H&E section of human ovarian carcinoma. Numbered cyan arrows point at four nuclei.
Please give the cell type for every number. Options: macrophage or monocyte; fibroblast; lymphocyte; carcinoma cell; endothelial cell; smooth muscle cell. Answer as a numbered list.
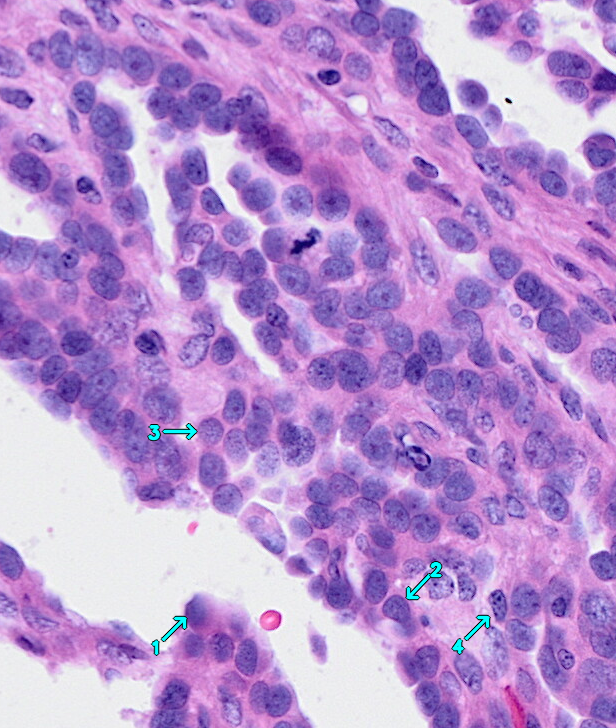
1. carcinoma cell
2. carcinoma cell
3. carcinoma cell
4. macrophage or monocyte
